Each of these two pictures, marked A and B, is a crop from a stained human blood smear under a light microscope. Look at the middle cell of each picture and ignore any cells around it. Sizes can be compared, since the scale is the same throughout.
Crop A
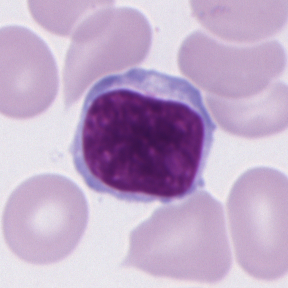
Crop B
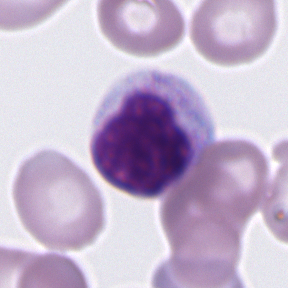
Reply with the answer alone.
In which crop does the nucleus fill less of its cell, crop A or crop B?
B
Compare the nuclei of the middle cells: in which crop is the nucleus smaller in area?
B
